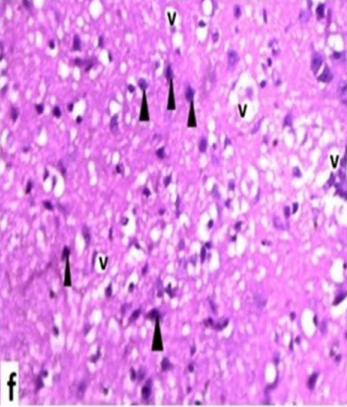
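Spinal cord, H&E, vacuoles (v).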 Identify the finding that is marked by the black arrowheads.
damaged tiny neurons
